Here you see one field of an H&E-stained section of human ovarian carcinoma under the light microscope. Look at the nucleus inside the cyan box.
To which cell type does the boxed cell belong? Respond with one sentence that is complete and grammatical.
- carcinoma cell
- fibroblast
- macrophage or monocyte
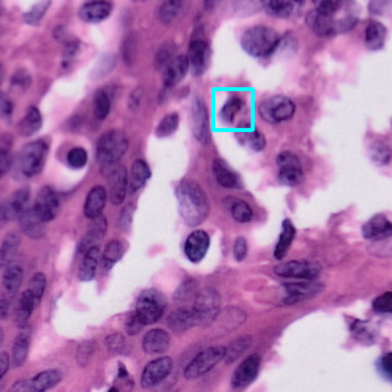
As for its identity, the boxed cell is a macrophage or monocyte.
